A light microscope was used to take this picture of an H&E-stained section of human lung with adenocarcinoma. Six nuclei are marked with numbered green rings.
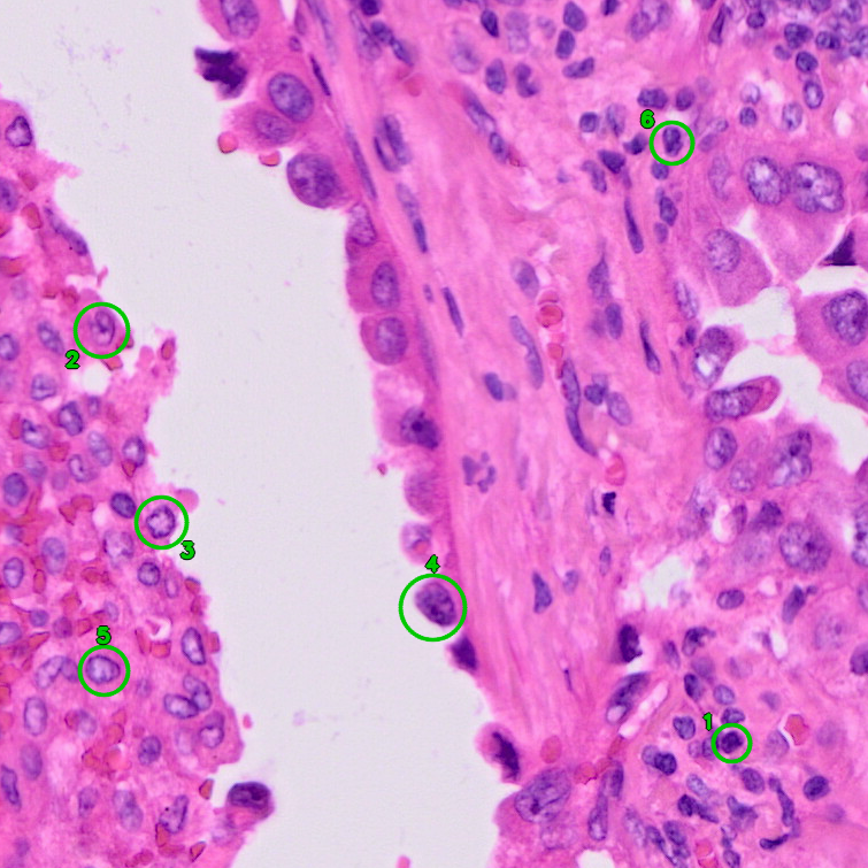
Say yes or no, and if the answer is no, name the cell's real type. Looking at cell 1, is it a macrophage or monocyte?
No, it is a lymphocyte.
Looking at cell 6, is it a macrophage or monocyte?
No, it is a lymphocyte.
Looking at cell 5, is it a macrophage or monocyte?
Yes.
